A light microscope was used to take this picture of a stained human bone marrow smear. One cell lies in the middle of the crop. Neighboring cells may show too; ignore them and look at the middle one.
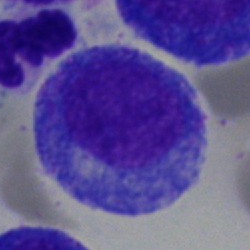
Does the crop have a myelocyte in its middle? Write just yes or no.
no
